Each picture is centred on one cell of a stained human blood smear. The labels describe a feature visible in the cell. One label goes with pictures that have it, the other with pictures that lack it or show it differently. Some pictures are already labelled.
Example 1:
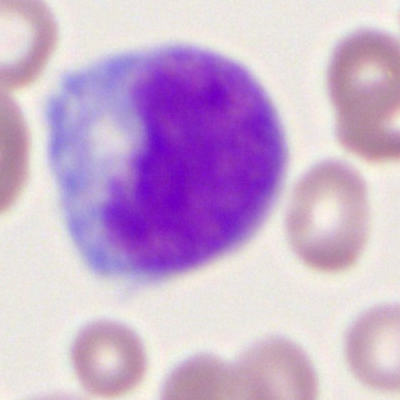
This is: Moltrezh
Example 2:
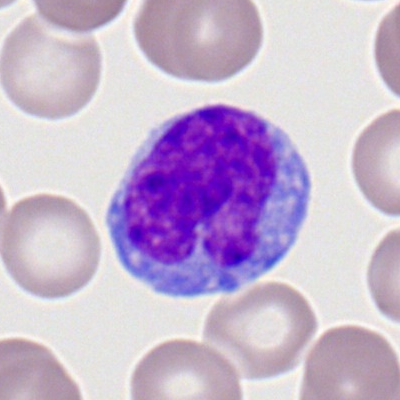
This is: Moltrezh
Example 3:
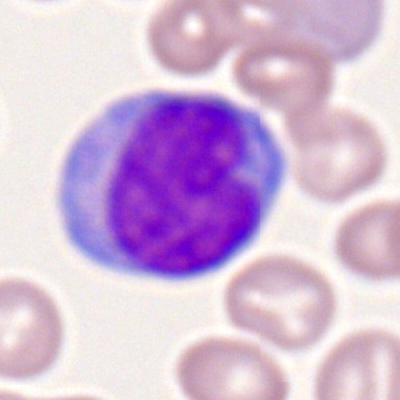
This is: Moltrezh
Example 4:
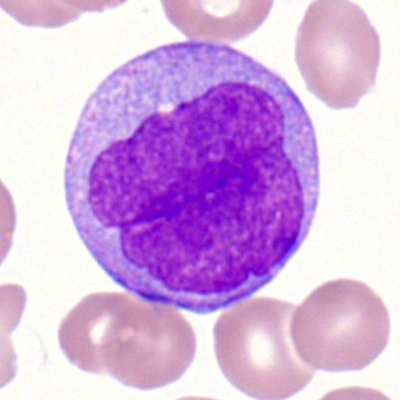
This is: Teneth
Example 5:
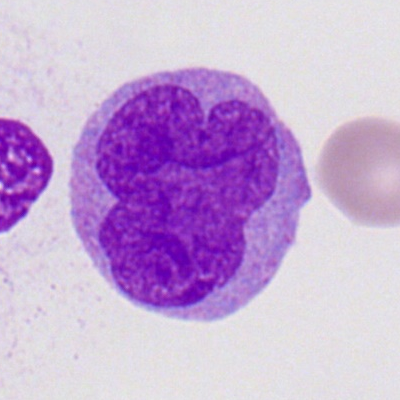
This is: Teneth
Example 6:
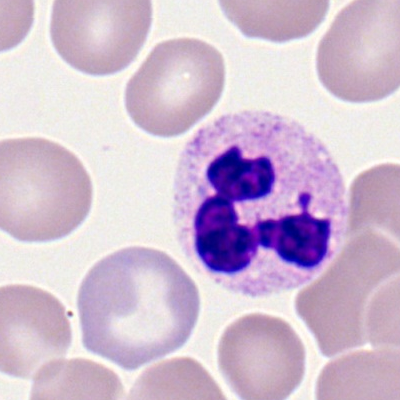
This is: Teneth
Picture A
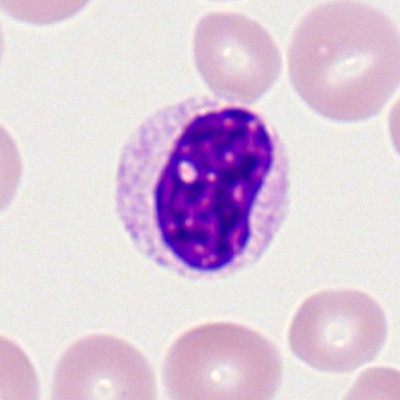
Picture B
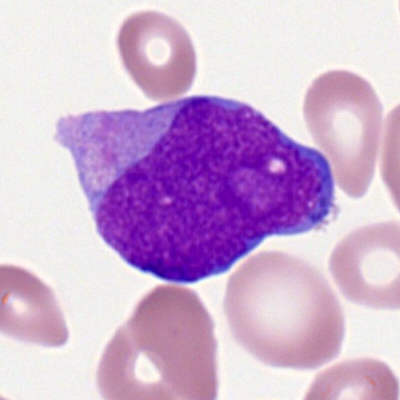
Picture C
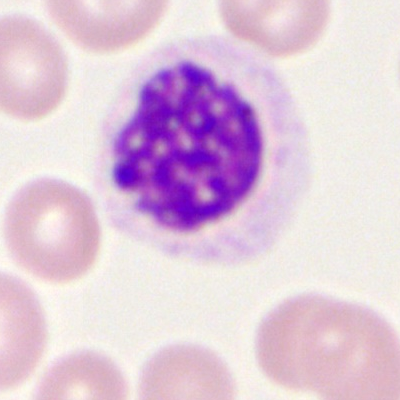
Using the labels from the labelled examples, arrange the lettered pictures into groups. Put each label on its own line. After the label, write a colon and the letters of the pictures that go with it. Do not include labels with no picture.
Moltrezh: A, B, C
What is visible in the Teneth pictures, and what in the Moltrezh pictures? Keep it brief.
In Teneth: lobed nucleus. In Moltrezh: single compact nucleus.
